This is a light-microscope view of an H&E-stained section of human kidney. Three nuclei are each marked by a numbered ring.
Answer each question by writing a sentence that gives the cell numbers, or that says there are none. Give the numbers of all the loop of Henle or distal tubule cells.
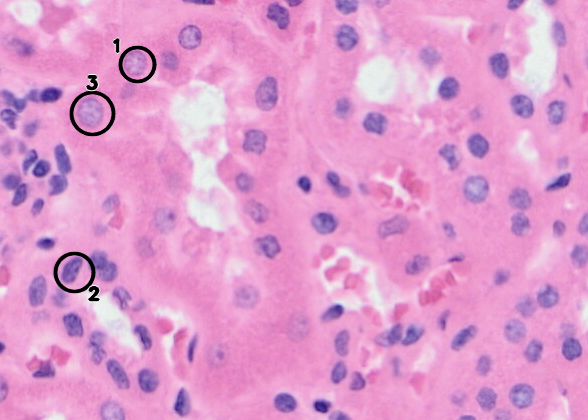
The numbered cells and the loop of Henle or distal tubule cells have no member in common.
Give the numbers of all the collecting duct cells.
There is just one numbered cell that is a collecting duct cell, and it is cell 2.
